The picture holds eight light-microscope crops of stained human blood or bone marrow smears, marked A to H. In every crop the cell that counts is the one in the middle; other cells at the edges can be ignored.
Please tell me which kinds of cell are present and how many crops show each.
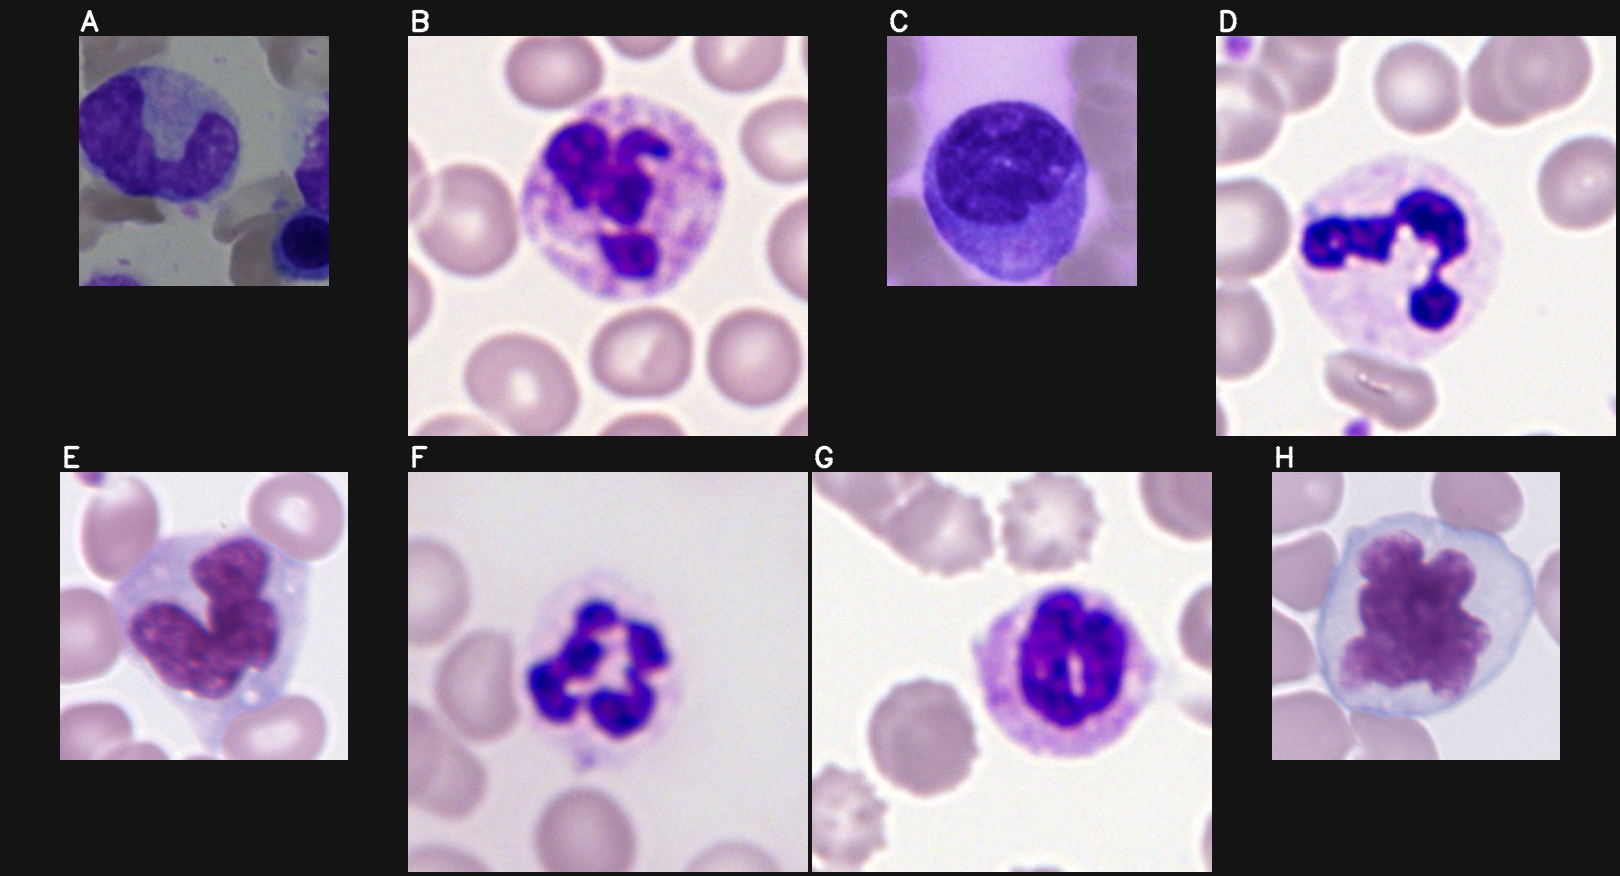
monocyte: 4
neutrophil: 4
